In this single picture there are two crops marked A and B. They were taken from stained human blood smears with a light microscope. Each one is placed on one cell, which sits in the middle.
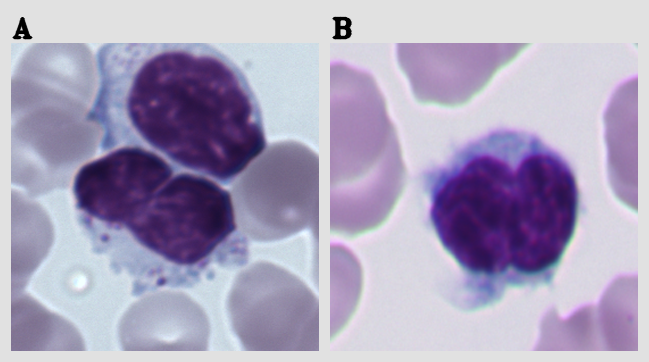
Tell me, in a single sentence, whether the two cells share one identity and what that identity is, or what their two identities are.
No, a hairy cell is in crop B, and a large granular lymphocyte is in crop A.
